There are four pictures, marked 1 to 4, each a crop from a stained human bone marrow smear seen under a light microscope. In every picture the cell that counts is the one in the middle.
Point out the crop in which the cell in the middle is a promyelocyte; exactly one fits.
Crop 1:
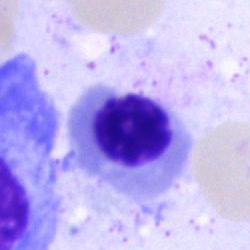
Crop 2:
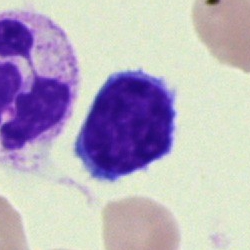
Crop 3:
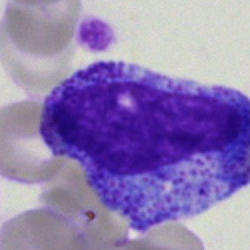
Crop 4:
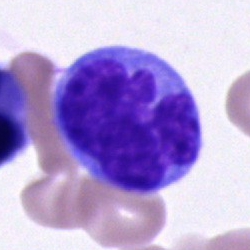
3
